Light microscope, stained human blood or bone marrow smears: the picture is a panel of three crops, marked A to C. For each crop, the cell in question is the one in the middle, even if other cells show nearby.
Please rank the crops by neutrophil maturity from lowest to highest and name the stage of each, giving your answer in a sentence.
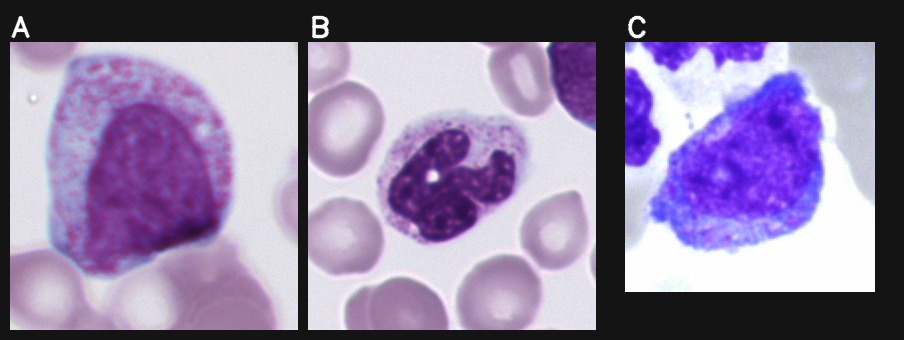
So the order, from least to most mature, is crop C (a promyelocyte), crop A (a myelocyte) and crop B (a segmented neutrophil).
